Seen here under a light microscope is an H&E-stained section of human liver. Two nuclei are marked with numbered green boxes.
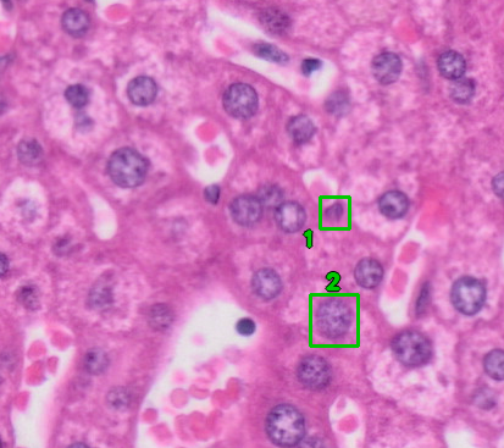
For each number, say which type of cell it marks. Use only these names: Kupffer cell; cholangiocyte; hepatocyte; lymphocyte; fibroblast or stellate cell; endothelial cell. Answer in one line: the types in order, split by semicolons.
fibroblast or stellate cell; hepatocyte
